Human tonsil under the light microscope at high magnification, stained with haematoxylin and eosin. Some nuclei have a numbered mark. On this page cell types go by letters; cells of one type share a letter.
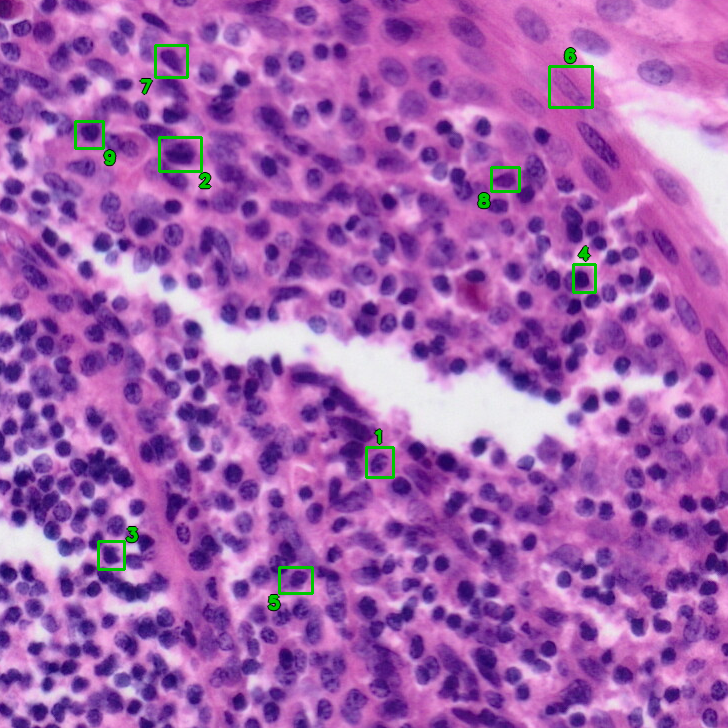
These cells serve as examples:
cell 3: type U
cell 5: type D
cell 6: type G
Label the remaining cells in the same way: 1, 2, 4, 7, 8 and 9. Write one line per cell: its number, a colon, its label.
1: type D
2: type G
4: type D
7: type G
8: type G
9: type D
